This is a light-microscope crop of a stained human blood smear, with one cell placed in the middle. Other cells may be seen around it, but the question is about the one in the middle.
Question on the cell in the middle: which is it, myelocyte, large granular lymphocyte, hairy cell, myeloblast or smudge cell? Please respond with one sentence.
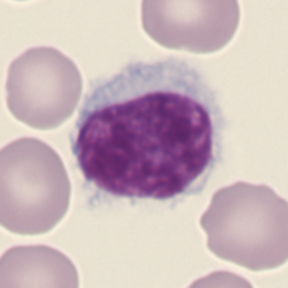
In the centre of this crop there is a hairy cell.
